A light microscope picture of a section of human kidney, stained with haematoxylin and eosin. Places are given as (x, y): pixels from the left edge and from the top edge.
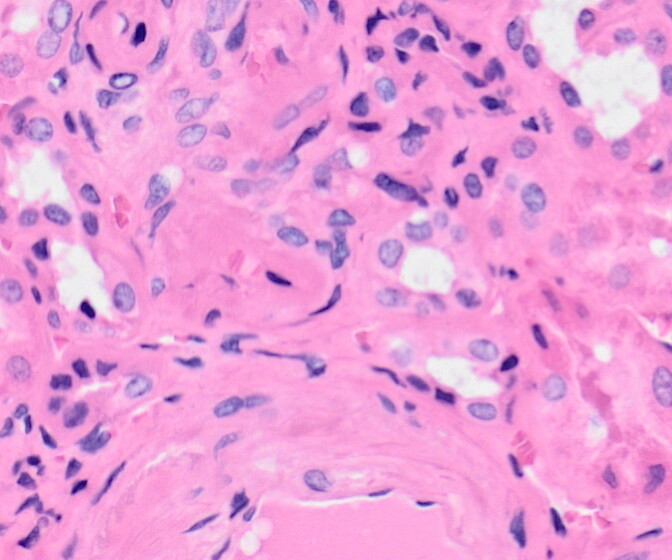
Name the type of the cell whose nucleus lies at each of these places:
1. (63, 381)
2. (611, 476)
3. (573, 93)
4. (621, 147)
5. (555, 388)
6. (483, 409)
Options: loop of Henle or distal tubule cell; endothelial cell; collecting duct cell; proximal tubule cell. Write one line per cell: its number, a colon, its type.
1: collecting duct cell
2: proximal tubule cell
3: loop of Henle or distal tubule cell
4: loop of Henle or distal tubule cell
5: proximal tubule cell
6: collecting duct cell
